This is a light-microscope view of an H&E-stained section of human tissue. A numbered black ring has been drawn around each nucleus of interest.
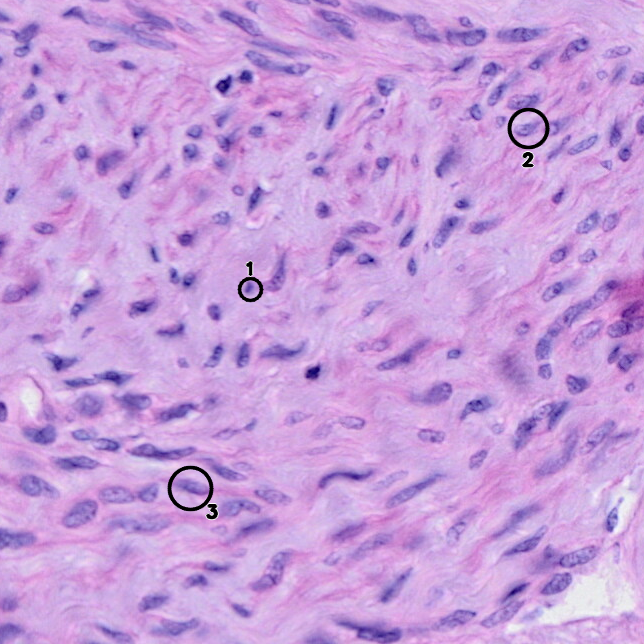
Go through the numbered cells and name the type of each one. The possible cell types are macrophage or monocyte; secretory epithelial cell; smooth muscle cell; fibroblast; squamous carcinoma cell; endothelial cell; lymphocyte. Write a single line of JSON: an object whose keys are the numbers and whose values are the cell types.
{"1": "fibroblast", "2": "smooth muscle cell", "3": "smooth muscle cell"}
